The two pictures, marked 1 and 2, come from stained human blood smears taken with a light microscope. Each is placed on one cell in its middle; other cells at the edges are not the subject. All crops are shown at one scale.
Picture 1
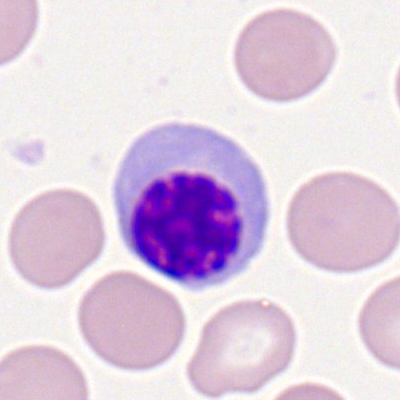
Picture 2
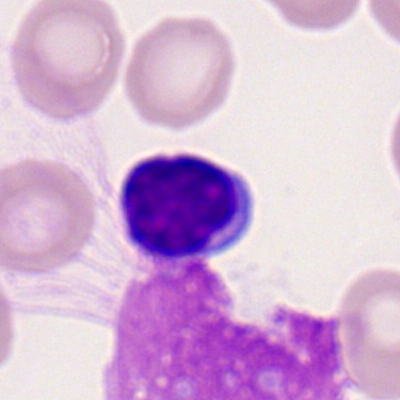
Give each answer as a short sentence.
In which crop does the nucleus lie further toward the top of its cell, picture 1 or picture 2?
The nucleus in picture 2 lies further toward the top of its cell.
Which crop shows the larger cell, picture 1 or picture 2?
The cell in picture 1 is larger, with about 1.5 times the area of the one in picture 2.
